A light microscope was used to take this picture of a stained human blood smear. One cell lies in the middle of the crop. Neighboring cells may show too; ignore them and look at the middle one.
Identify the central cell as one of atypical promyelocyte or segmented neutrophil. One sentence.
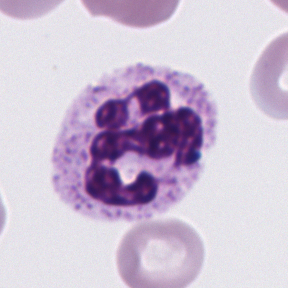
The cell centred in this crop is categorized as a segmented neutrophil.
